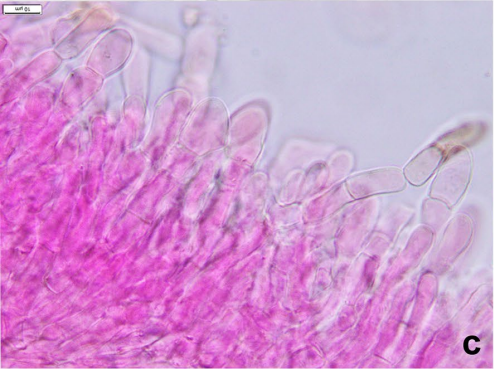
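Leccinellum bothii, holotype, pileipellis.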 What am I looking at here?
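The hyphae run more or less upright toward the surface and end in short, cylindrical cells with rounded tips. Several terminal cells lie in short chains of two or three, and the pale, thin walls contrast with the stronger pink staining of the deeper packed hyphae.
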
